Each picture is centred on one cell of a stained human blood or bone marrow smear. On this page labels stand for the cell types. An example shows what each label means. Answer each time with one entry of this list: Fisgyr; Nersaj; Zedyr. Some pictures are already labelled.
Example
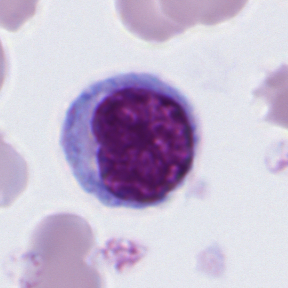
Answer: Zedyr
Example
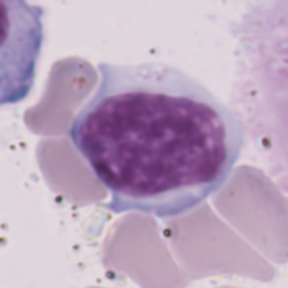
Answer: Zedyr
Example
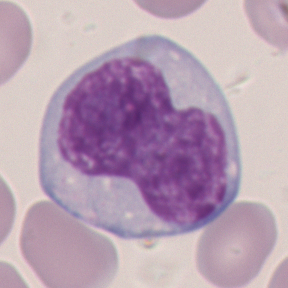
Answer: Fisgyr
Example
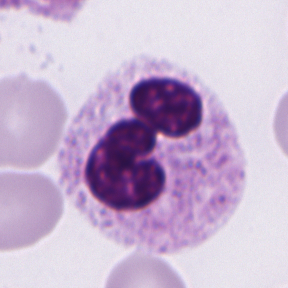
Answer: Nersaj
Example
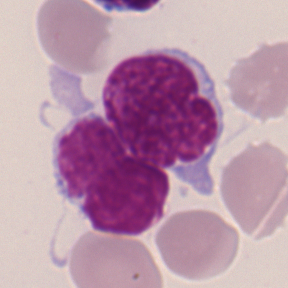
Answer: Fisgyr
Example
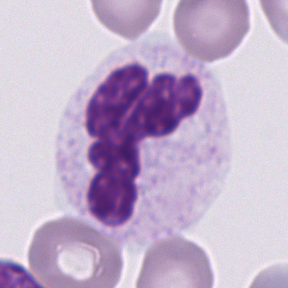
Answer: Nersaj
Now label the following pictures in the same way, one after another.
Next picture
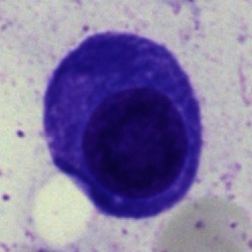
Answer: Zedyr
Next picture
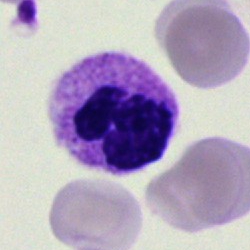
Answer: Nersaj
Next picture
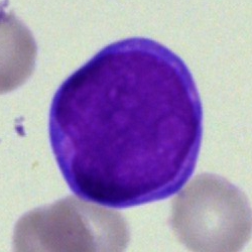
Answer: Fisgyr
